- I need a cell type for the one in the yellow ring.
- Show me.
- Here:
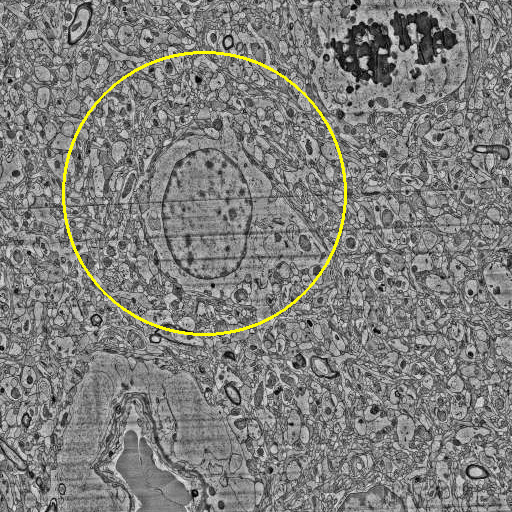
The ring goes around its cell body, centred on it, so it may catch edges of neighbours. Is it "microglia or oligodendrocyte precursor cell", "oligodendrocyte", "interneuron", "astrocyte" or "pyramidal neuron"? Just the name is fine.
astrocyte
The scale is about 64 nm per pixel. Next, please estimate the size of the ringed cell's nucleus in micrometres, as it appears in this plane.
The nucleus has a long axis of about 8 micrometres and a short axis of about 6 micrometres in this plane.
